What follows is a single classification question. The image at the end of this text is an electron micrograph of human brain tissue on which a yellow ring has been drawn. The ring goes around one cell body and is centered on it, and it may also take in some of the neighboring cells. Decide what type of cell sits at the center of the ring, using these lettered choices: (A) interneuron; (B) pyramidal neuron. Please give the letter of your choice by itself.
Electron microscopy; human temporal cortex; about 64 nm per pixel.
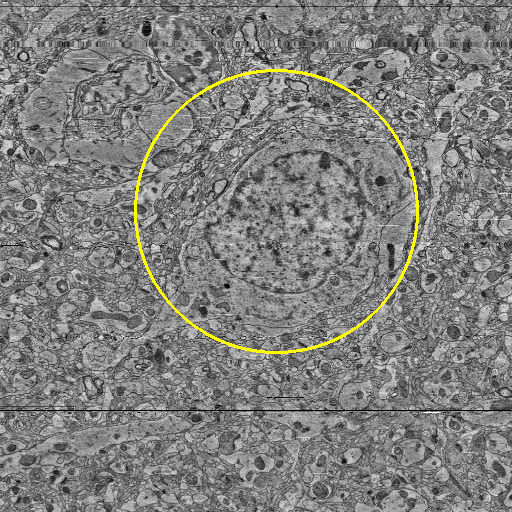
A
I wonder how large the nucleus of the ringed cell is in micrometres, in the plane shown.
The nucleus works out at approximately 10 by 9 micrometres in this plane.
